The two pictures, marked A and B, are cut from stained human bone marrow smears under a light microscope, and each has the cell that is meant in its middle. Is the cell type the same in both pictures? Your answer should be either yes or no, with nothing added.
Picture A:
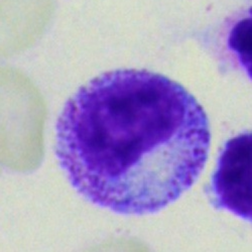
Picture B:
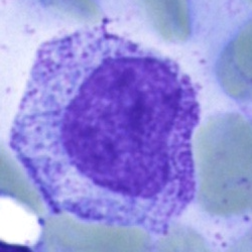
yes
